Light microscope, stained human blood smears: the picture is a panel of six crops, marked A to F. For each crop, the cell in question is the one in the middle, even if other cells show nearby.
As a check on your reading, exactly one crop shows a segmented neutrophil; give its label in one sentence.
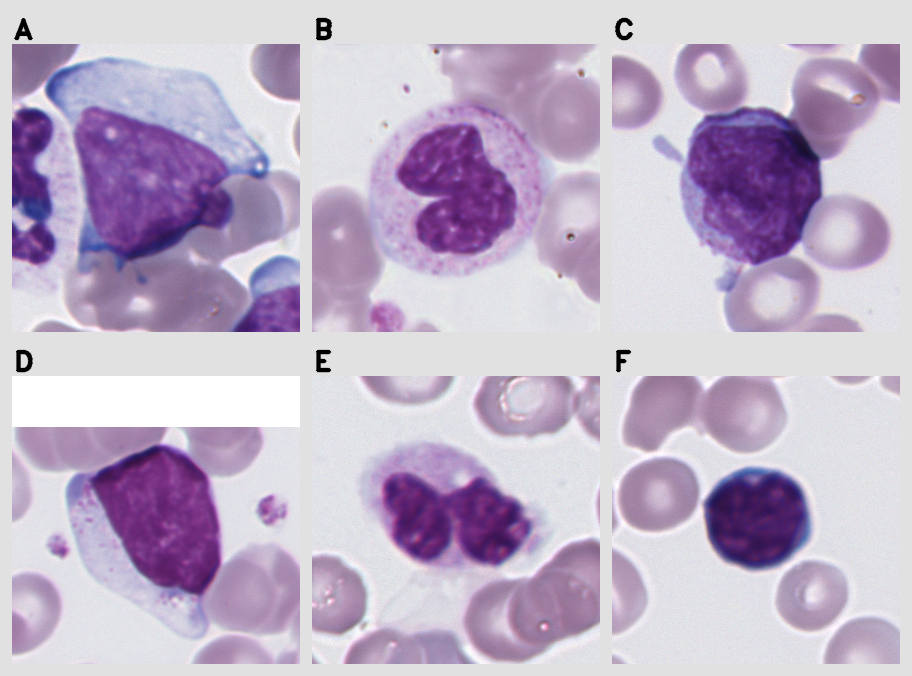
Of all the crops, crop E is the one showing a segmented neutrophil.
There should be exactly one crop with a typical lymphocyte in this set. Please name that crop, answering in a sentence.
Crop F is the one in this set that shows a typical lymphocyte.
